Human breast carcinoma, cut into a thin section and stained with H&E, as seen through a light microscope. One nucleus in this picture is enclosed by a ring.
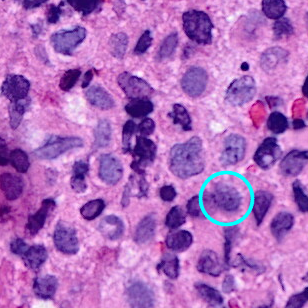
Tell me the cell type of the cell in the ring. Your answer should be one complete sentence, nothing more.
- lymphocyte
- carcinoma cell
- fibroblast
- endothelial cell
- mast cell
With respect to cell type, the cell in the ring is a carcinoma cell.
